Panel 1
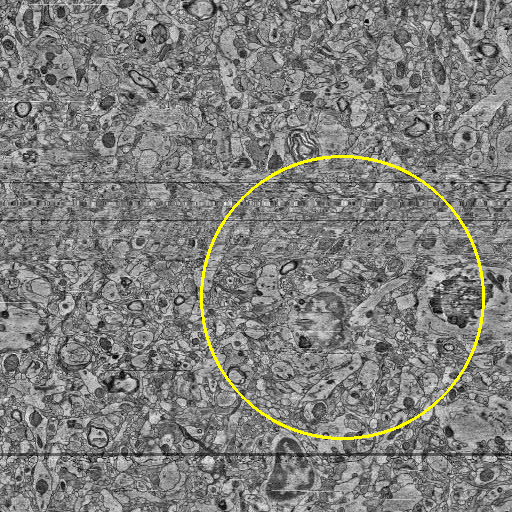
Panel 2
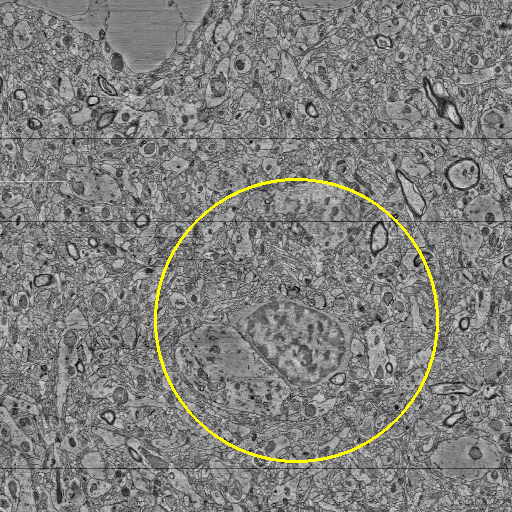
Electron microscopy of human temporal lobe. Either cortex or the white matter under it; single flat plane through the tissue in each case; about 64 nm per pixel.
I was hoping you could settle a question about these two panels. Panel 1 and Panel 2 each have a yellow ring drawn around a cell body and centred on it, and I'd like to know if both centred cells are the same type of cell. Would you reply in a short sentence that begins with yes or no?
Yes, both are the same type of cell.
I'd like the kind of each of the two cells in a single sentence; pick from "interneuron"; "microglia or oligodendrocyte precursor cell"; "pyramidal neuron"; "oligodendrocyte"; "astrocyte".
In each of the two pictures, the ringed cell is an oligodendrocyte.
